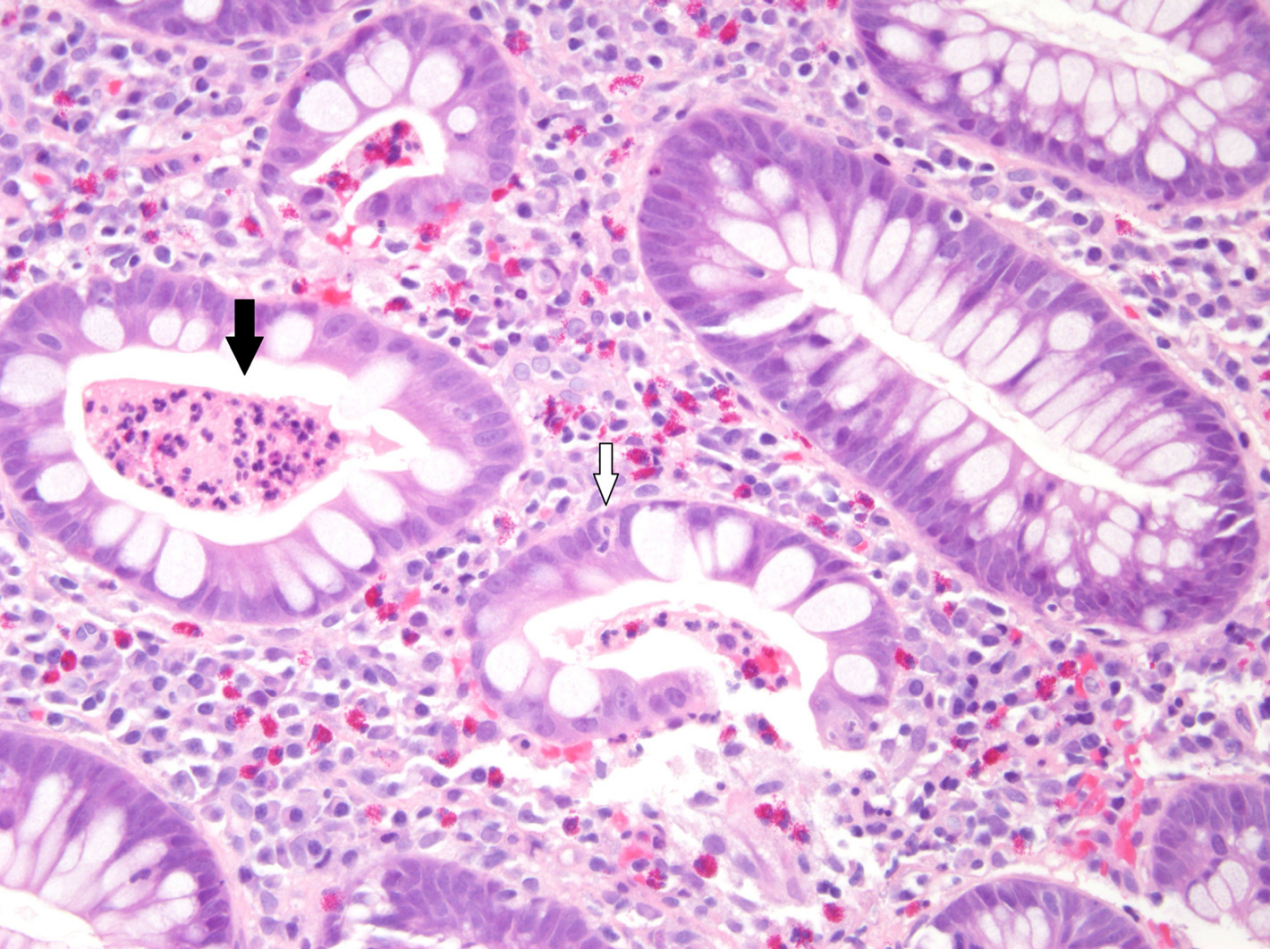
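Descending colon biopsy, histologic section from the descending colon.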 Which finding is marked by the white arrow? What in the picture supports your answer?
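Cryptitis. The white arrow points at the edge of a crypt whose lining is surrounded by crowded inflammatory cells. Inflammatory cells, some with bright red granules, lie against and within the crypt and in its lumen.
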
